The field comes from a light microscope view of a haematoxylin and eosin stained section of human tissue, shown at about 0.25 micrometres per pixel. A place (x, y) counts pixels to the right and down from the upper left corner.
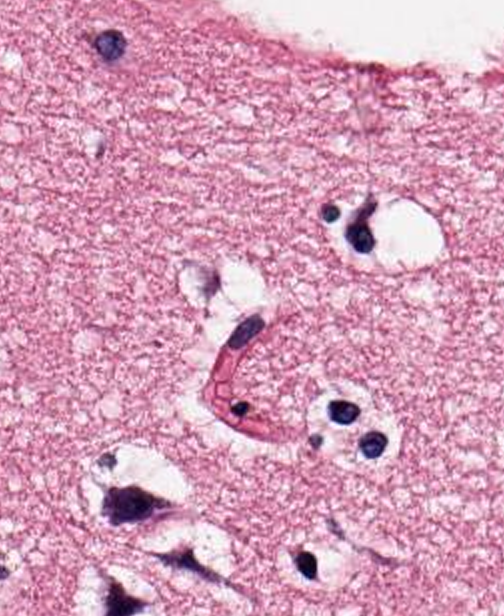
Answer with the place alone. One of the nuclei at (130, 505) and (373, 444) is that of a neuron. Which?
(130, 505)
